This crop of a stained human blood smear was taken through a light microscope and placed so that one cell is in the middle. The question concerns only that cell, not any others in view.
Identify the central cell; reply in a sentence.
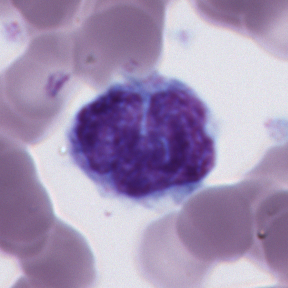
The cell occupying the middle of the crop is a monocyte.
